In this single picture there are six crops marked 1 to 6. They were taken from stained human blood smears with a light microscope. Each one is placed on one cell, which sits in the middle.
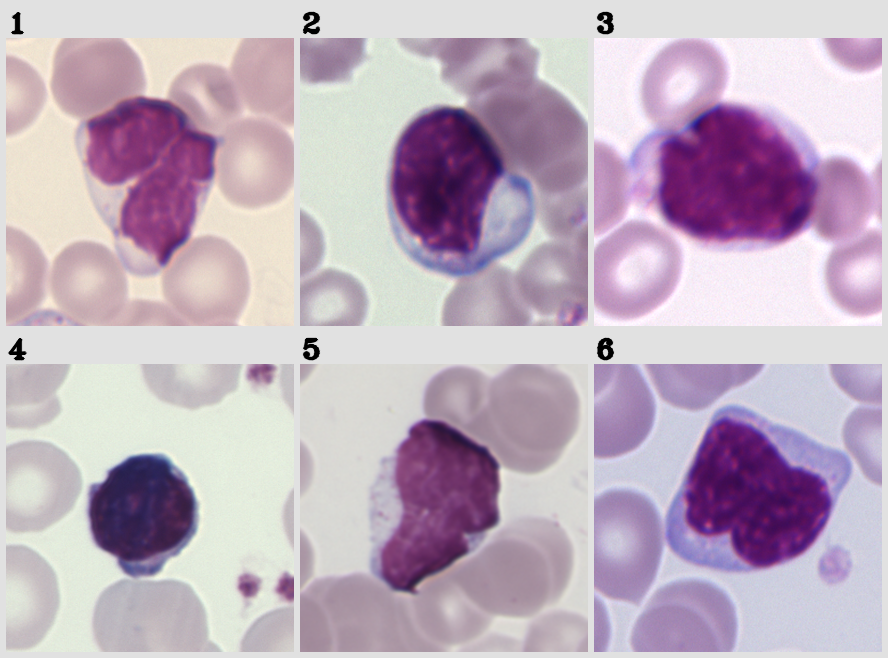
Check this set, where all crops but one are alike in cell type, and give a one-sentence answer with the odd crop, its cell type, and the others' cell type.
All crops show large granular lymphocytes except crop 4, which is a typical lymphocyte.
